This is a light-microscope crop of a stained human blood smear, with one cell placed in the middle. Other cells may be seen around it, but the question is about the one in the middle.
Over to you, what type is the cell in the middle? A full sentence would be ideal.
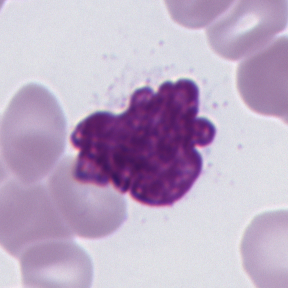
Classification of the middle cell gives a smudge cell.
